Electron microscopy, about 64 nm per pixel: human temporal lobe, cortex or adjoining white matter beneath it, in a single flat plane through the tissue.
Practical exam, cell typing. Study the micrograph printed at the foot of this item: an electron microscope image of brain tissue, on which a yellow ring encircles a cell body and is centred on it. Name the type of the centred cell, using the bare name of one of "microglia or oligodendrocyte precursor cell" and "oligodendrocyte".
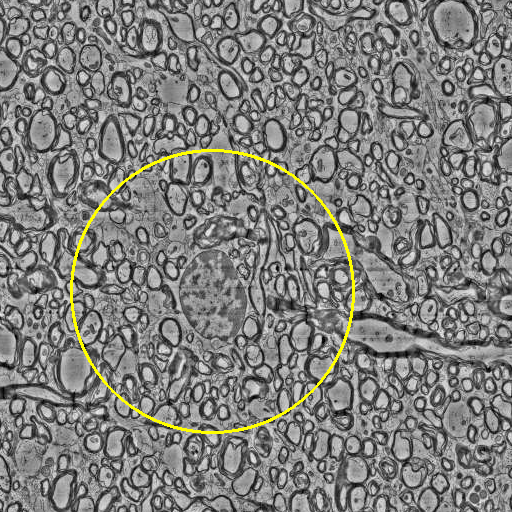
microglia or oligodendrocyte precursor cell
